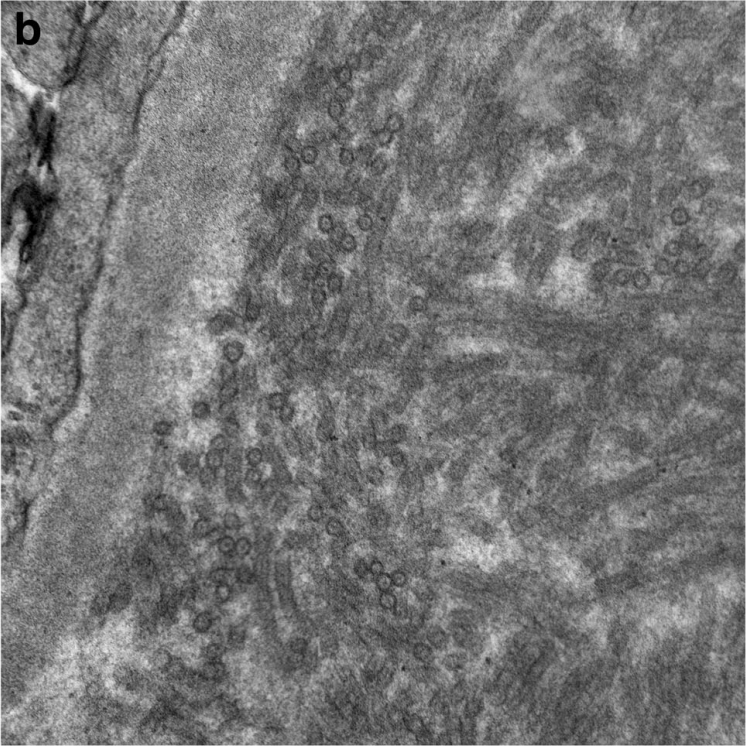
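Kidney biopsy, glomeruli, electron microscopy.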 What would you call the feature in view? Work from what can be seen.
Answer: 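Broad tubular structures. Many small hollow ring-shaped profiles with a pale centre and dark wall. Elongated parallel profiles running in bundles, the same structures cut lengthwise.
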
